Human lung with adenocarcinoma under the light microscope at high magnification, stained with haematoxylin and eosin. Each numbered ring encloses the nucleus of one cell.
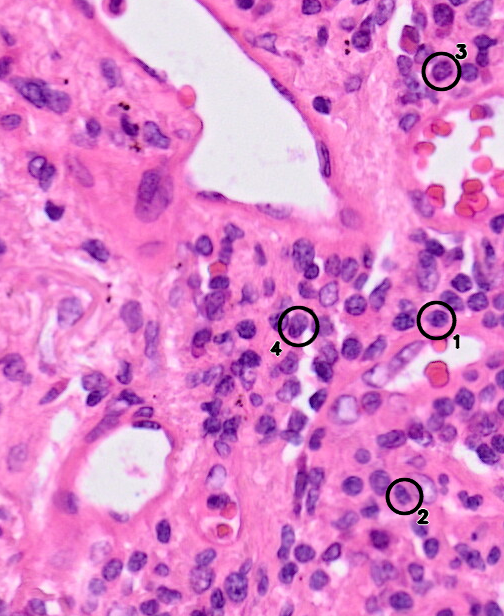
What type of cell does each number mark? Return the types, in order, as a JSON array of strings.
["lymphocyte", "lymphocyte", "plasma cell", "lymphocyte"]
